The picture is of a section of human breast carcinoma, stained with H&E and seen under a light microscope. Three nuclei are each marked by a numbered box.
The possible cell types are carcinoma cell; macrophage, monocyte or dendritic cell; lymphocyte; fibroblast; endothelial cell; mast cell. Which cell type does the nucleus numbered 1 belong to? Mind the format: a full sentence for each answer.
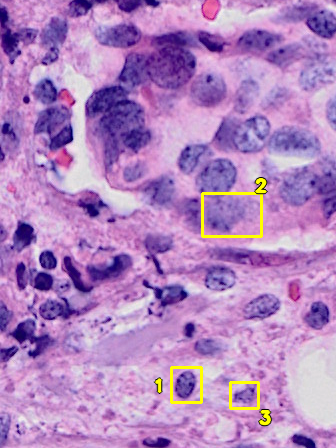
Cell 1 in the field of view is a mast cell.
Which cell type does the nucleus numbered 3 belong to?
Nucleus 3 in this section belongs to a macrophage, monocyte or dendritic cell.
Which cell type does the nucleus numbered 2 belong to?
To a carcinoma cell belongs the nucleus marked 2.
